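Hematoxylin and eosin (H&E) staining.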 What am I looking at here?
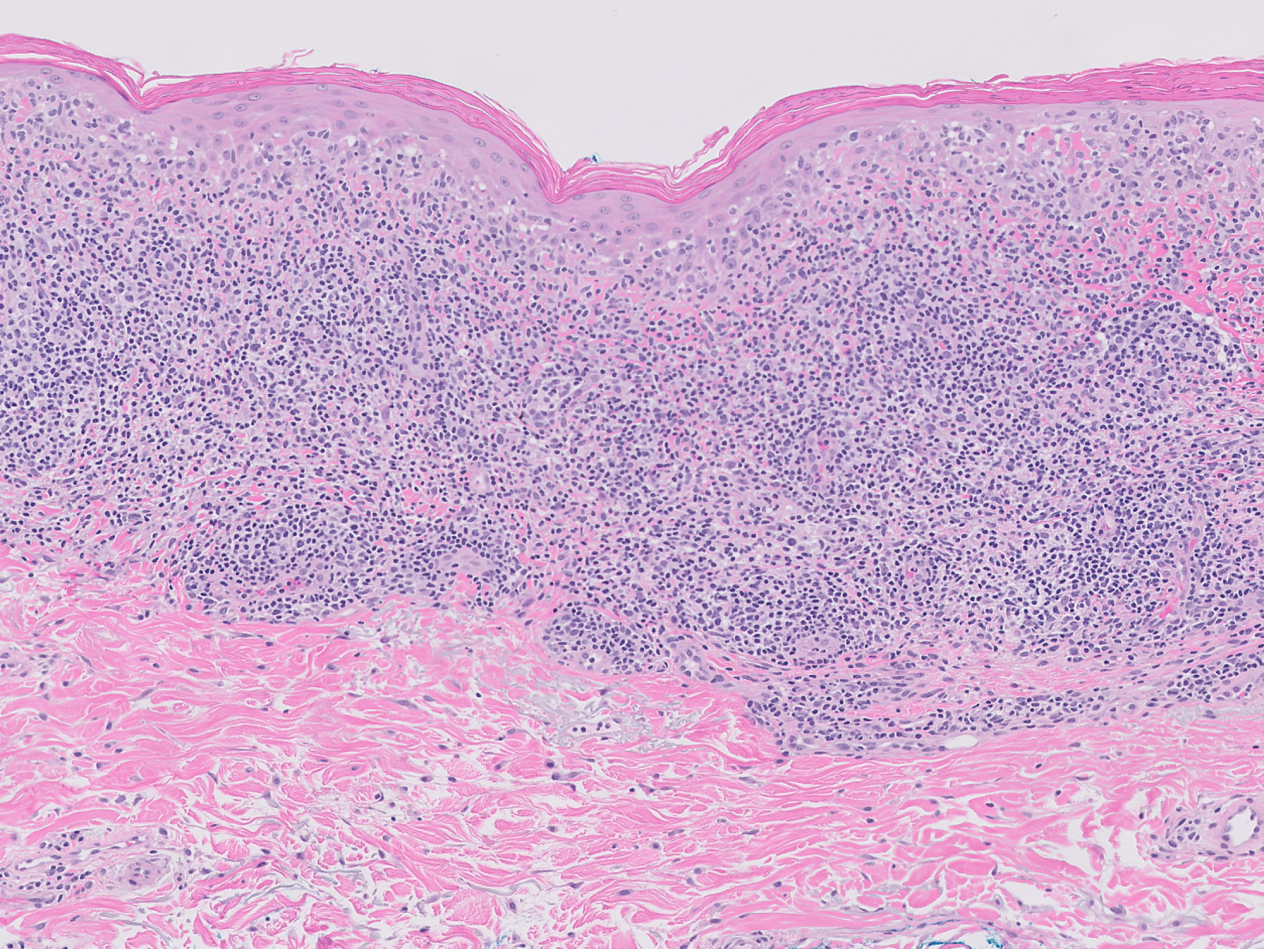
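Skin with a dense, band-like infiltrate of lymphocytes filling the papillary dermis just beneath the epidermis. The infiltrate is made of crowded small cells with round, dark nuclei and scant cytoplasm; it runs along the whole width of the section, presses up against the base of the epidermis and blurs the junction between epidermis and dermis. Below the band, the deeper dermis is made of loosely arranged pink collagen bundles with scattered spindle-shaped nuclei and a few small vessels.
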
